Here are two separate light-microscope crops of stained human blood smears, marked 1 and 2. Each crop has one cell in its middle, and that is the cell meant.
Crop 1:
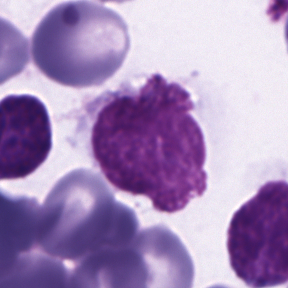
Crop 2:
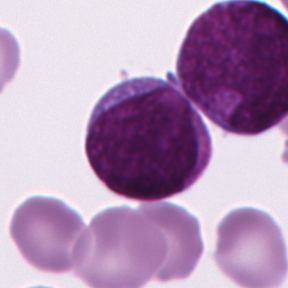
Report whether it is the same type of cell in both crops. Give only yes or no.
no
